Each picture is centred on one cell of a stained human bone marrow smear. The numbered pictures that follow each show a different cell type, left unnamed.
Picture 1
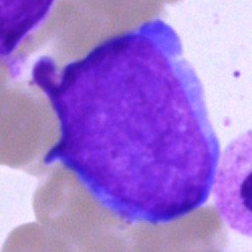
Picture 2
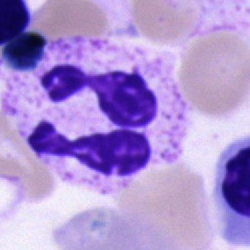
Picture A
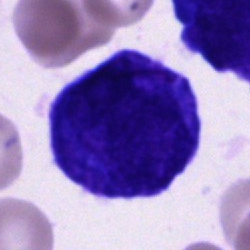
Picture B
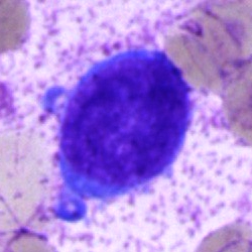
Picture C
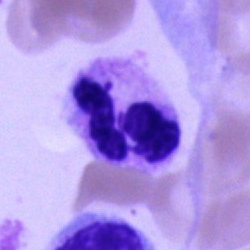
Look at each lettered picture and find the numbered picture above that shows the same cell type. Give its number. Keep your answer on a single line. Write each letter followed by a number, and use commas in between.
A 1, B 1, C 2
